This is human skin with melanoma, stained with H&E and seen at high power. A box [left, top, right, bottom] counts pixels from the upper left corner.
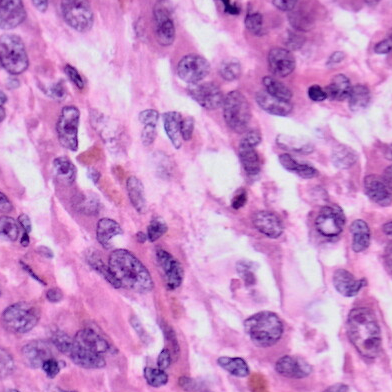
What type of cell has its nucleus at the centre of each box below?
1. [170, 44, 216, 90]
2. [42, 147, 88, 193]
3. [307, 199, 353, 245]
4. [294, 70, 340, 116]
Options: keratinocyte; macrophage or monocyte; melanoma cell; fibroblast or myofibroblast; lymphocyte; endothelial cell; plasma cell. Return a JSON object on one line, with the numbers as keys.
{"1": "melanoma cell", "2": "melanoma cell", "3": "melanoma cell", "4": "lymphocyte"}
